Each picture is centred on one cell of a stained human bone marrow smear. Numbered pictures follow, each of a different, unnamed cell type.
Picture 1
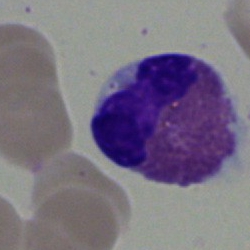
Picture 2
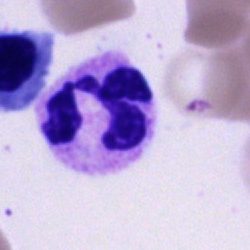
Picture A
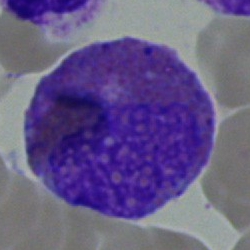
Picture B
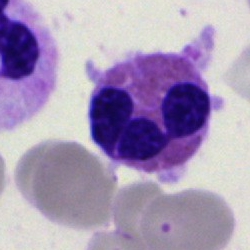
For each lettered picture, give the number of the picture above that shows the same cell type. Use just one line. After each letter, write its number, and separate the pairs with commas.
A 1, B 1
